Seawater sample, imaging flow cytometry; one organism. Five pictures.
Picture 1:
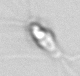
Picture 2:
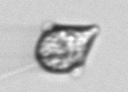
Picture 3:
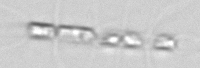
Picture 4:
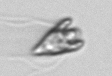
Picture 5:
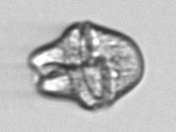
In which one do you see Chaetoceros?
In picture 3.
